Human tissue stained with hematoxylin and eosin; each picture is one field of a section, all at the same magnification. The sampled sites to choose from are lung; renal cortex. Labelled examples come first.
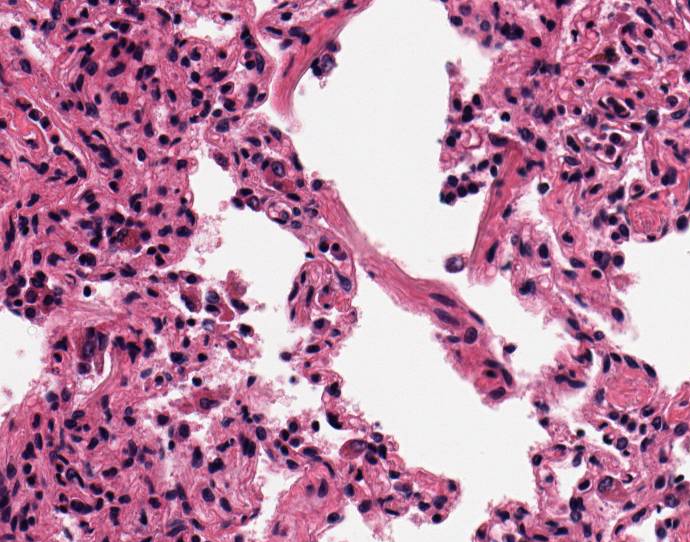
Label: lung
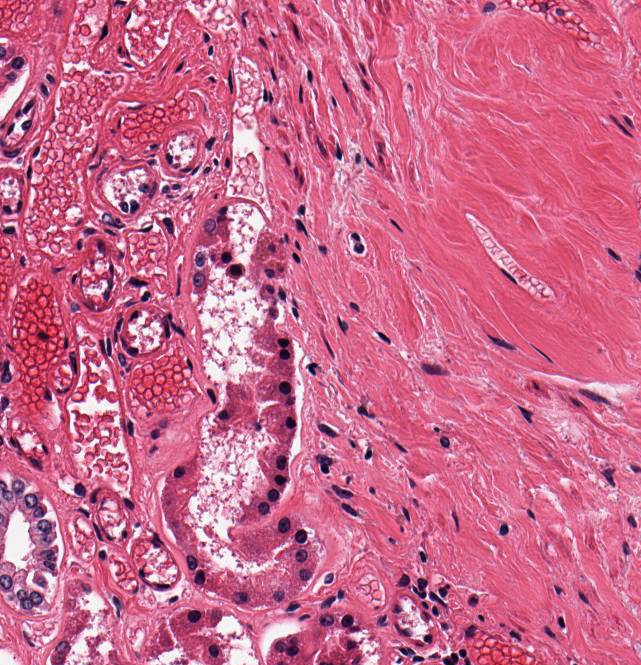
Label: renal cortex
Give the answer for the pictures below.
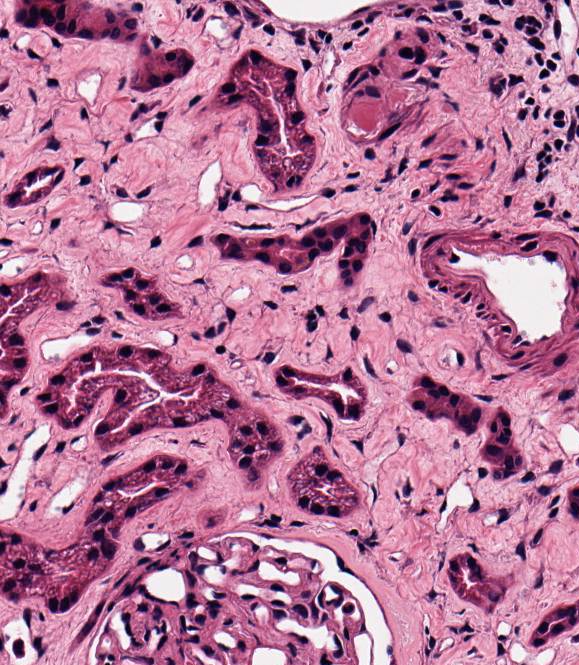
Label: renal cortex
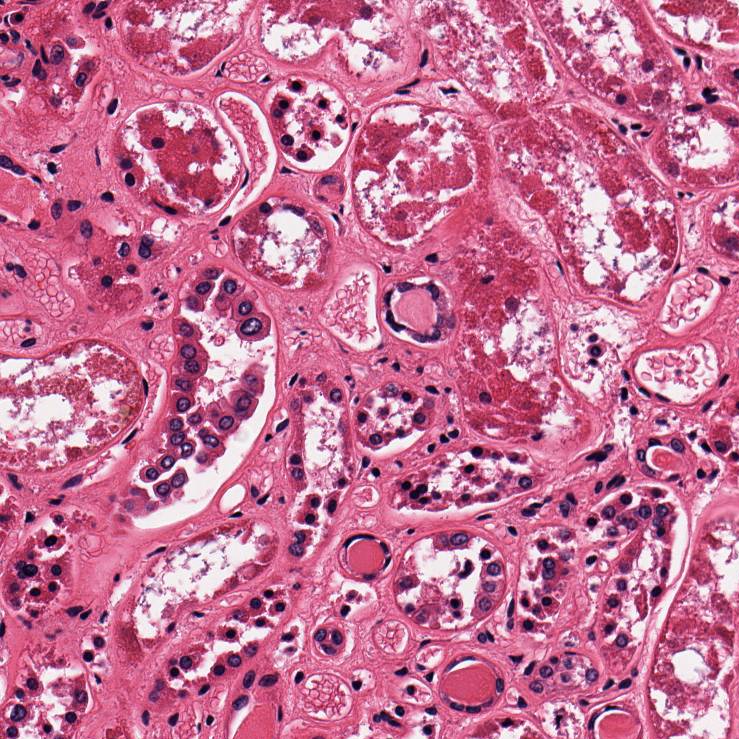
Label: renal cortex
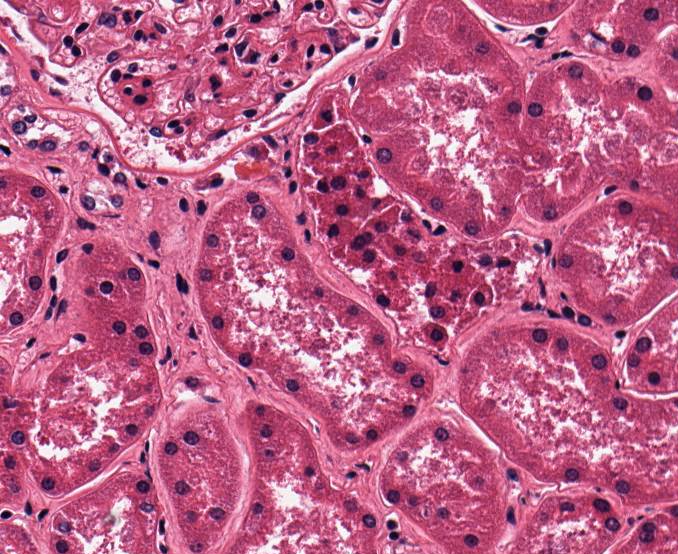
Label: renal cortex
